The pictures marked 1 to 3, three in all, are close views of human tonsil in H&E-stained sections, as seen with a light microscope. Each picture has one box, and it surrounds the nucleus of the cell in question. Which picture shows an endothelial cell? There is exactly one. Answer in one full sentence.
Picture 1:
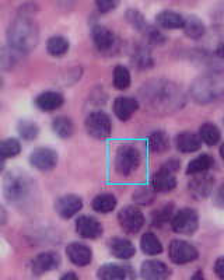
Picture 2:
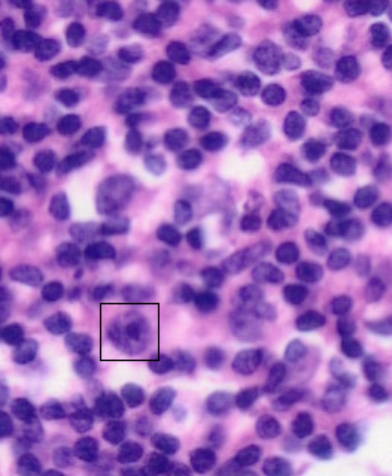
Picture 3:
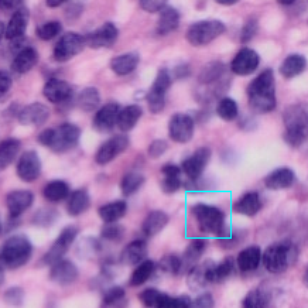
The cell in picture 1 is the endothelial cell.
